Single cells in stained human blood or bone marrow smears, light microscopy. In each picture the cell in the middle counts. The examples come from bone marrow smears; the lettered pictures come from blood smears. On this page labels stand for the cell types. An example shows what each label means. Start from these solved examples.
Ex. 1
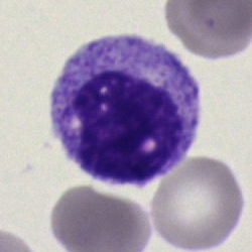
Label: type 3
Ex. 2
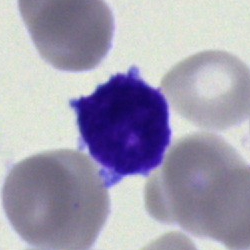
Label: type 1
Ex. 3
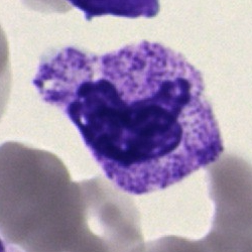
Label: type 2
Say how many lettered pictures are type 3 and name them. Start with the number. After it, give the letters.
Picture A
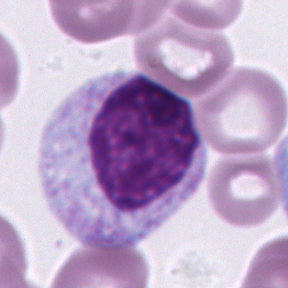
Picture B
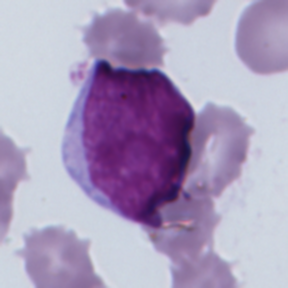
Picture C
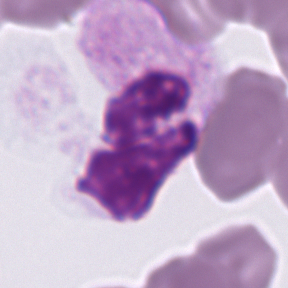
1: A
